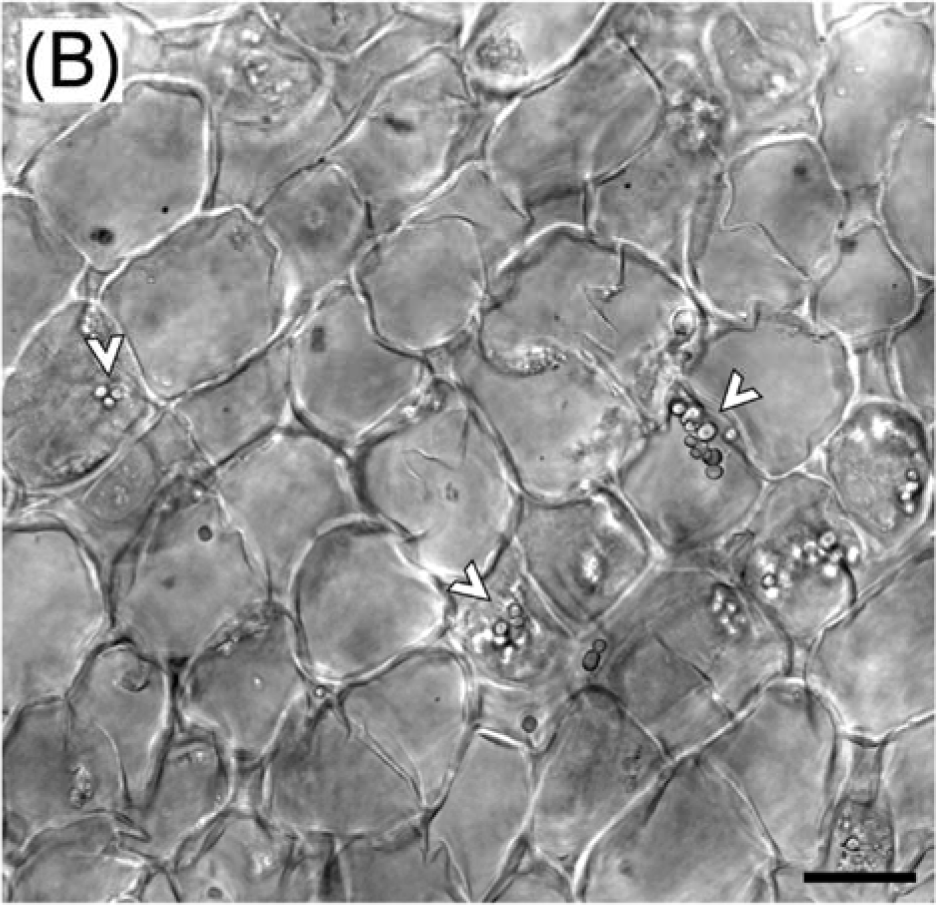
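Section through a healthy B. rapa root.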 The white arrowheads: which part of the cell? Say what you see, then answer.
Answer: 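Small round refractile granules lie in clusters inside some cells. The granules are much smaller than the cells holding them. So: Starch granules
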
